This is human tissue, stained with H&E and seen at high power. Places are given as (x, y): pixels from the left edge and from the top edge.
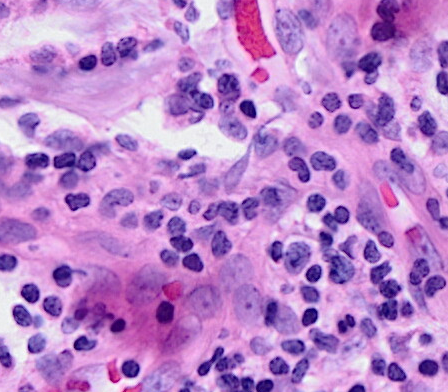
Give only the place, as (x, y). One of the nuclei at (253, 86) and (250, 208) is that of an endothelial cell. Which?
(253, 86)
